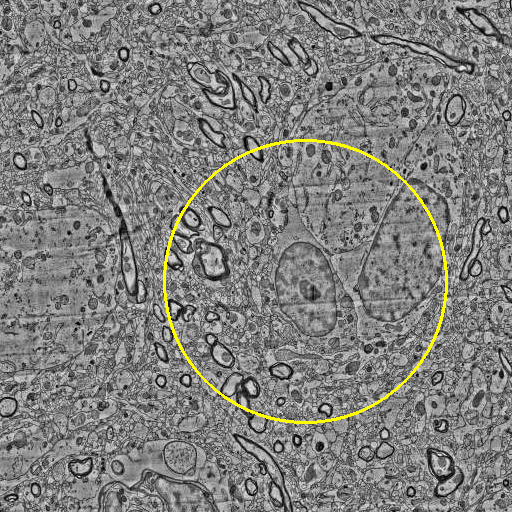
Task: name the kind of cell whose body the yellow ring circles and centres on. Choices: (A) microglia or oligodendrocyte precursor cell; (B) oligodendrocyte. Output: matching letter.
B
